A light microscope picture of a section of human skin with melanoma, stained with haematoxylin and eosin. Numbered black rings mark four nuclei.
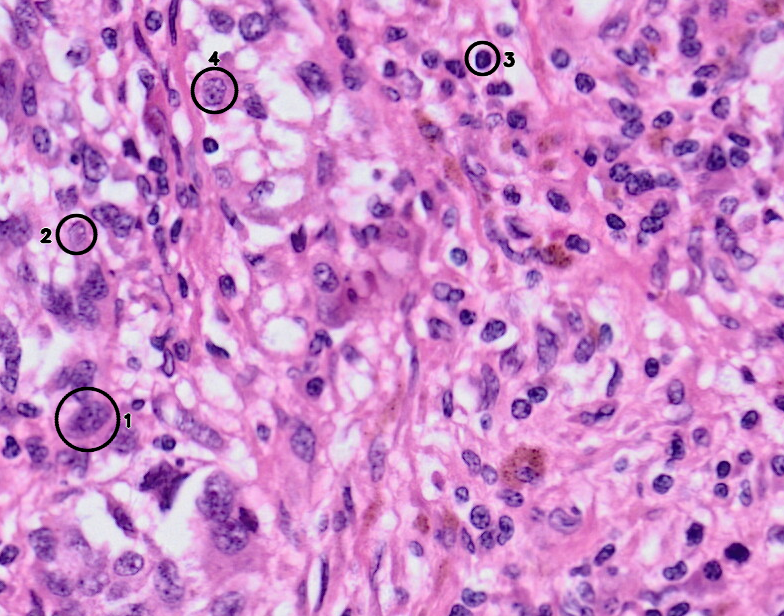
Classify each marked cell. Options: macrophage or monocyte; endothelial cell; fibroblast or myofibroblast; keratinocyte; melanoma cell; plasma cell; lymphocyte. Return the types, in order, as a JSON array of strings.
["melanoma cell", "melanoma cell", "lymphocyte", "melanoma cell"]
